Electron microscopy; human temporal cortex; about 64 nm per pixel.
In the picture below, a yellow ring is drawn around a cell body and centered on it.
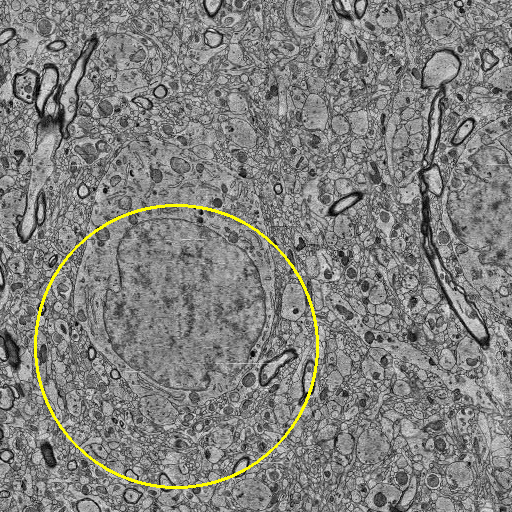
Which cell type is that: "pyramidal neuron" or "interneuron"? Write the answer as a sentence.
The cell centered in the ring is an interneuron.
